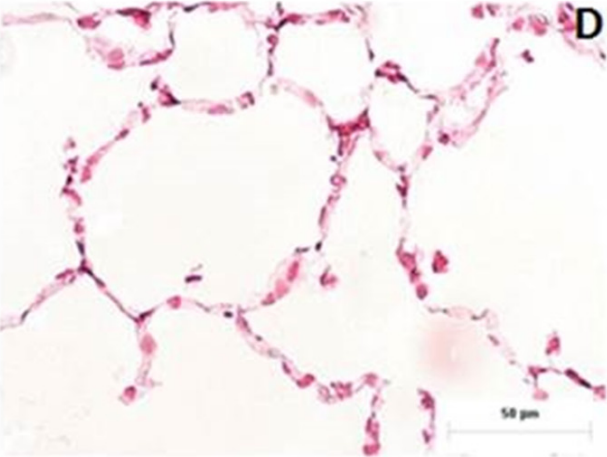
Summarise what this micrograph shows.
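This is lung parenchyma in which the alveolar air spaces are markedly enlarged. Large, irregular white spaces take up most of the field, and only a few thin pink walls divide them. Several walls appear interrupted, ending freely as short fragments projecting into the spaces. Dark purple and pink-staining nuclei lie along the remaining walls, which are thin and sparse compared with a normal alveolar network.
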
